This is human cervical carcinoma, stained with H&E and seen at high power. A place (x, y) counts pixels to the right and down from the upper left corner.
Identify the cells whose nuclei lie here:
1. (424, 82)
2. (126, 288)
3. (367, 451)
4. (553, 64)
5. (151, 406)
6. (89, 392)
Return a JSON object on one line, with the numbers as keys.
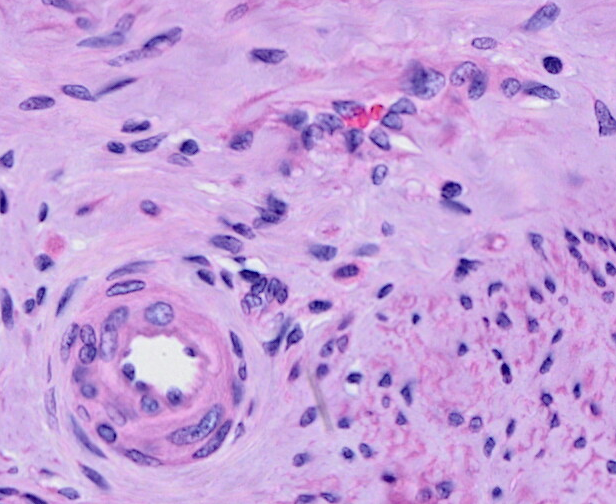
{"1": "endothelial cell", "2": "smooth muscle cell", "3": "smooth muscle cell", "4": "lymphocyte", "5": "smooth muscle cell", "6": "smooth muscle cell"}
